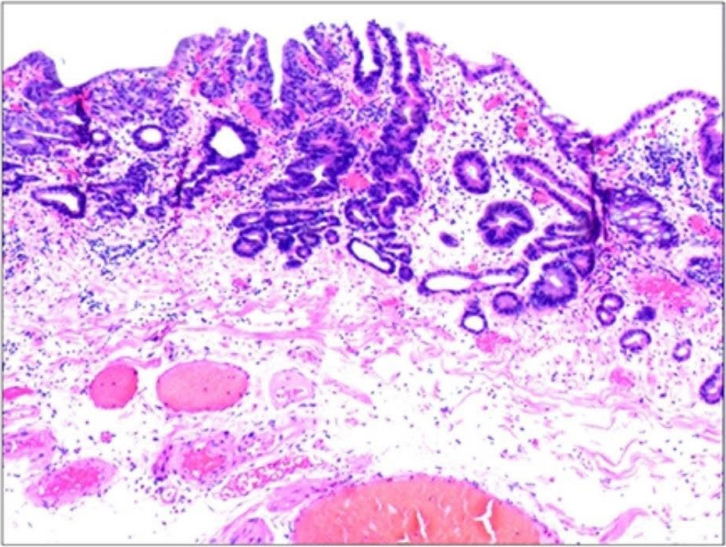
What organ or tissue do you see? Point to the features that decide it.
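Gastric mucosa. A surface epithelium with glands set in a cellular lamina propria. Below the glandular layer lies loose connective tissue with large blood vessels.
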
